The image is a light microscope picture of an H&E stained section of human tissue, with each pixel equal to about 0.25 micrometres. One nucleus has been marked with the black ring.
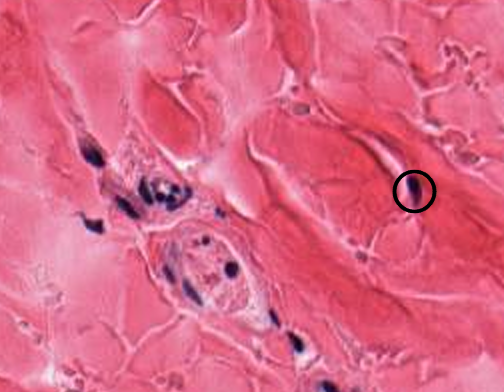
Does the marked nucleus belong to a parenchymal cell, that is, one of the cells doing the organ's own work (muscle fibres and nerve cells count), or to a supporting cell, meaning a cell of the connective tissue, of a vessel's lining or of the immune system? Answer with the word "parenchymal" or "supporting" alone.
supporting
